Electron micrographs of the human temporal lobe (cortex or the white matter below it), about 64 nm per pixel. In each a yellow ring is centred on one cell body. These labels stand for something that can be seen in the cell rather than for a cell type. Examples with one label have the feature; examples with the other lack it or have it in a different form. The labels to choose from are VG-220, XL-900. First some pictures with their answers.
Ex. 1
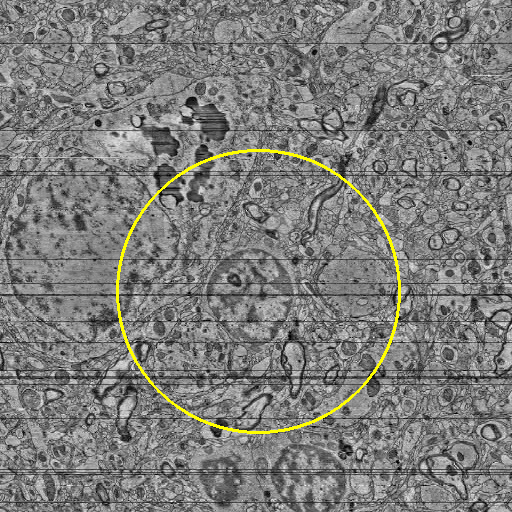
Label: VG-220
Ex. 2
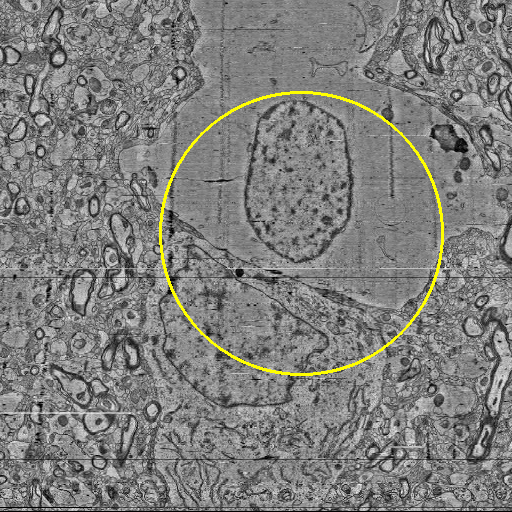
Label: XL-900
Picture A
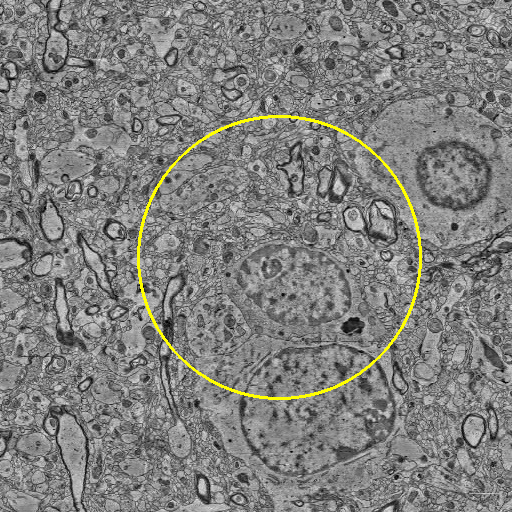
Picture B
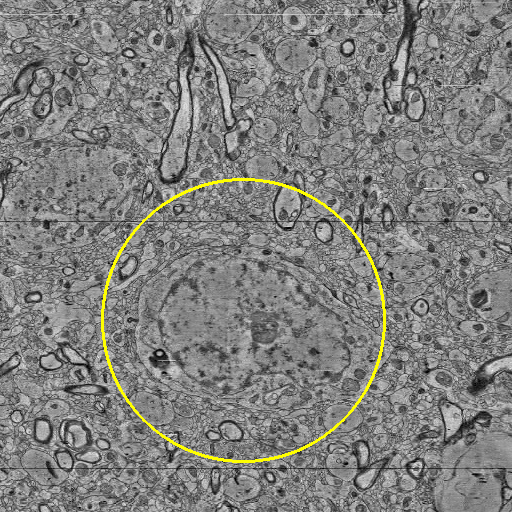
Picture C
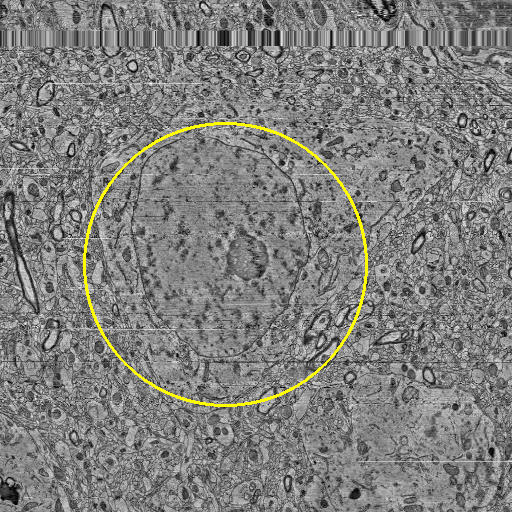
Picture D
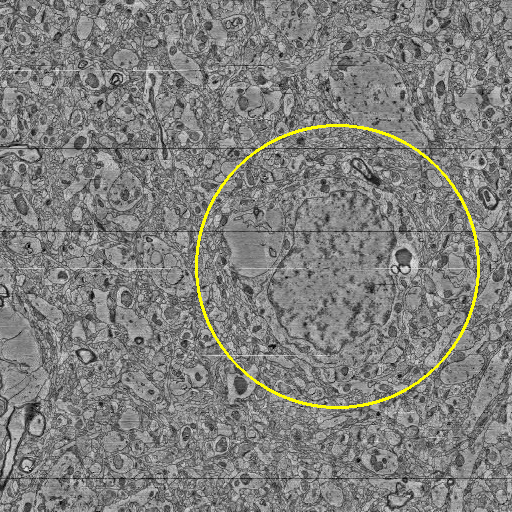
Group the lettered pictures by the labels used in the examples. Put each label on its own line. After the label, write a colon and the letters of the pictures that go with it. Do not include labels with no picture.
VG-220: A, B, C
XL-900: D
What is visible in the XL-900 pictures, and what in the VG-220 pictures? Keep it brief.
XL-900: no nucleolus seen; VG-220: nucleolus seen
